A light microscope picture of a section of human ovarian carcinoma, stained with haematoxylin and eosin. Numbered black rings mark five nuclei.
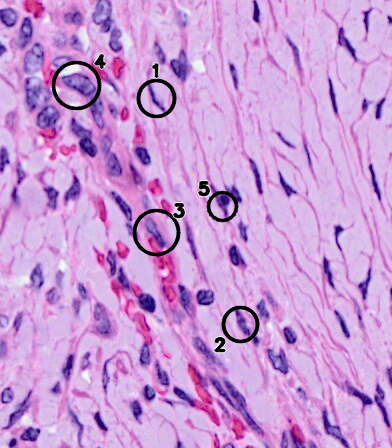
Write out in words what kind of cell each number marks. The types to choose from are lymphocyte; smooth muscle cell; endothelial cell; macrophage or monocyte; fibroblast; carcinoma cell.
Cell 1 is a fibroblast, cell 2 is a fibroblast, cell 3 is an endothelial cell, cell 4 is an endothelial cell and cell 5 is a fibroblast.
